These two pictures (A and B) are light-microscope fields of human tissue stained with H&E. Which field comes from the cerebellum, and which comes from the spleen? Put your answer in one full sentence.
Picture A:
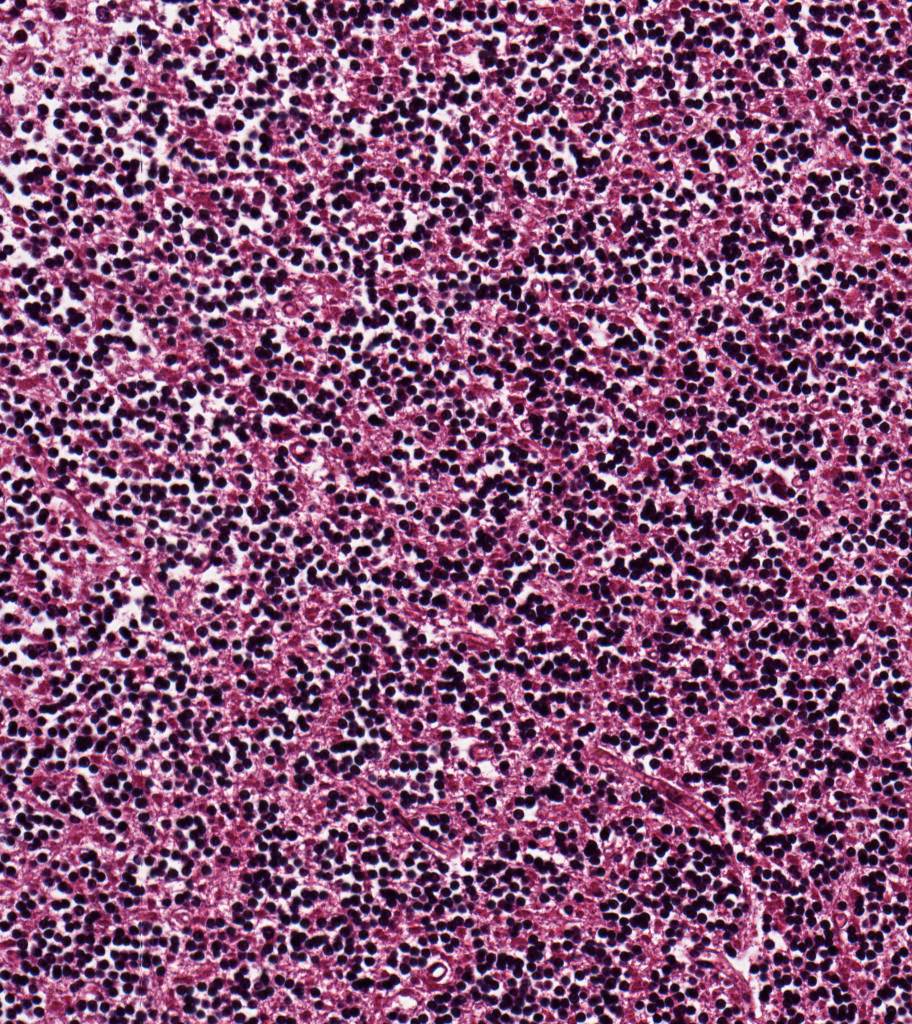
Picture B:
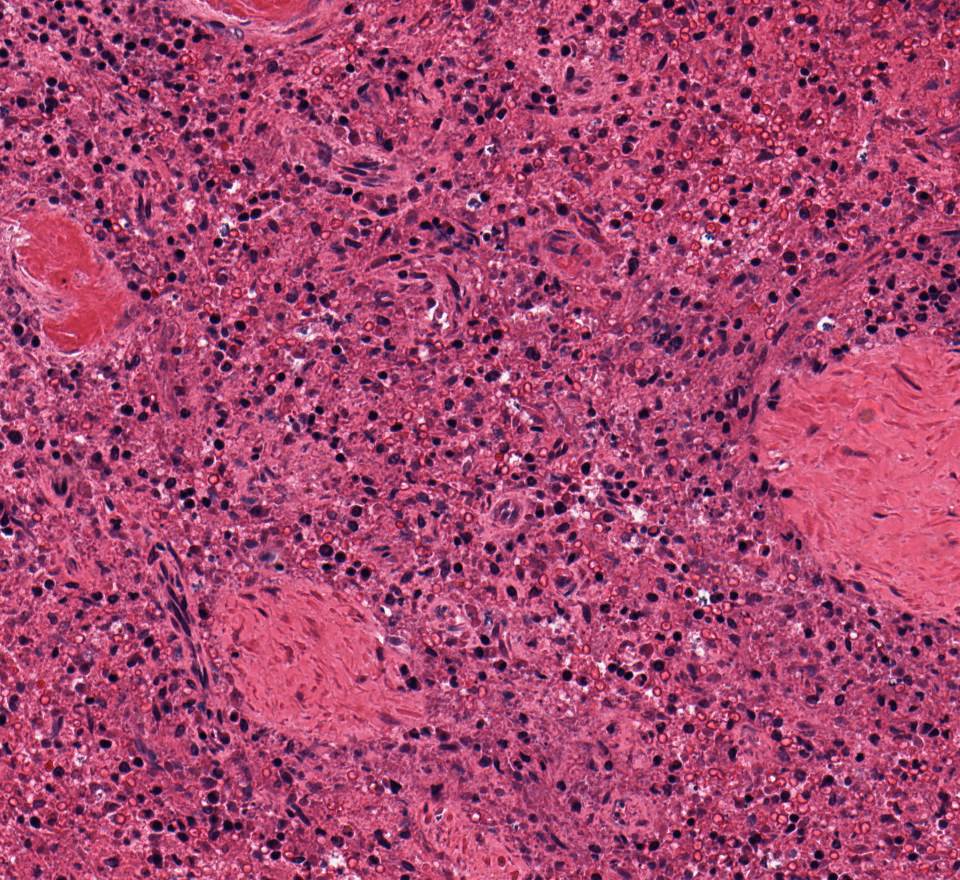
Picture B comes from the spleen, while picture A comes from the cerebellum.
